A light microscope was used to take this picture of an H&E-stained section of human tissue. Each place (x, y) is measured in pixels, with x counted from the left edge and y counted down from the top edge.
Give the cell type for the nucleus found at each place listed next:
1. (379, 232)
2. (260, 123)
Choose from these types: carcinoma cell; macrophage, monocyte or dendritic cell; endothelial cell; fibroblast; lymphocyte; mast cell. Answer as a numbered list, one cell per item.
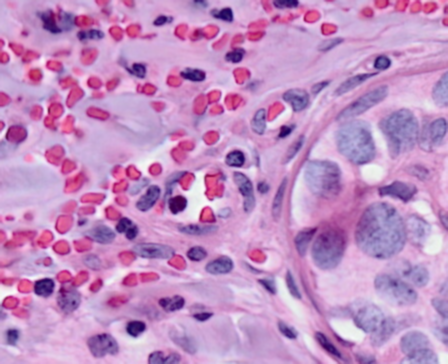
1. carcinoma cell
2. endothelial cell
